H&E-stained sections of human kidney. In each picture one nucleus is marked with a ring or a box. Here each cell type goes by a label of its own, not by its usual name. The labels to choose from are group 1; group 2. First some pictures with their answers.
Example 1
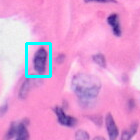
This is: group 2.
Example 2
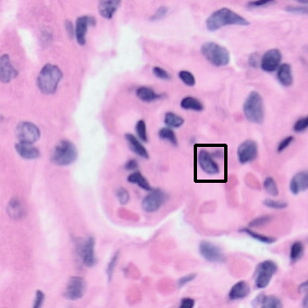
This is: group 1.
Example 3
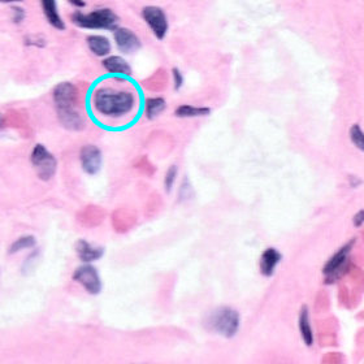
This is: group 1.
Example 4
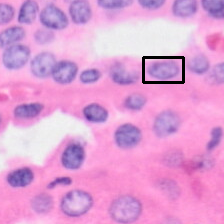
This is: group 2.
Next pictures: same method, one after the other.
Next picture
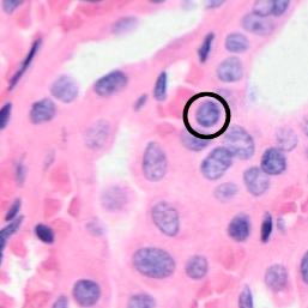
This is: group 2.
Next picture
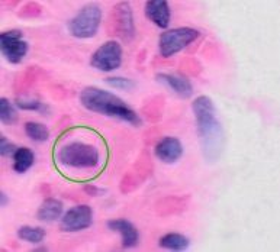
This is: group 1.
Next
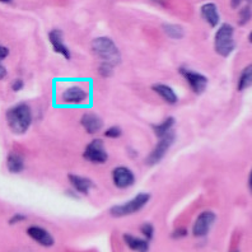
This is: group 1.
